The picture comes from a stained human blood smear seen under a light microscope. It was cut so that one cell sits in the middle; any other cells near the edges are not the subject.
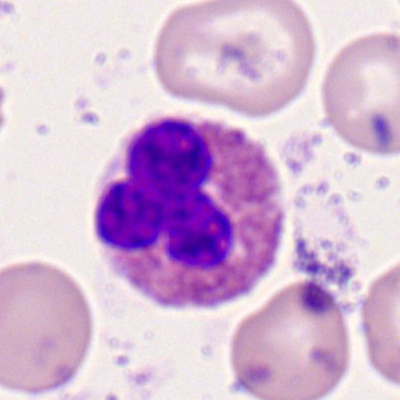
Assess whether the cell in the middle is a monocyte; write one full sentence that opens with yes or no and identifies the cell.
No, the cell at the centre is identified as an eosinophil, not as a monocyte.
